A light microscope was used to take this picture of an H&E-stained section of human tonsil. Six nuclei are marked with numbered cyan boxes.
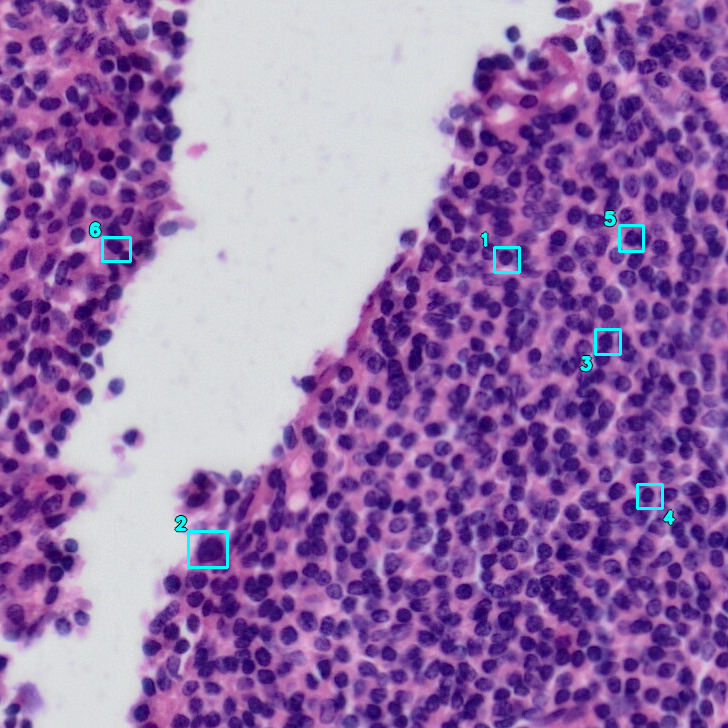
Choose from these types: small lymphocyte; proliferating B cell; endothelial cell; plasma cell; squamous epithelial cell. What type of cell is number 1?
small lymphocyte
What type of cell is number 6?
plasma cell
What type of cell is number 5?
small lymphocyte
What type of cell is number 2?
proliferating B cell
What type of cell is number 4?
small lymphocyte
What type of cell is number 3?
small lymphocyte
